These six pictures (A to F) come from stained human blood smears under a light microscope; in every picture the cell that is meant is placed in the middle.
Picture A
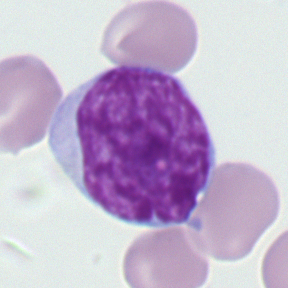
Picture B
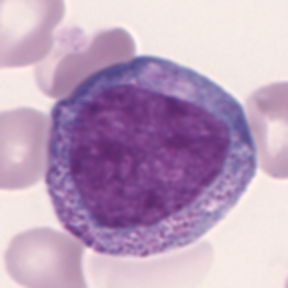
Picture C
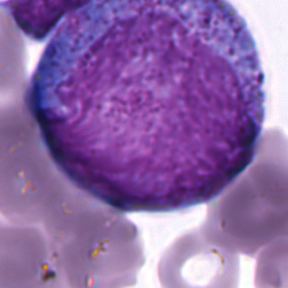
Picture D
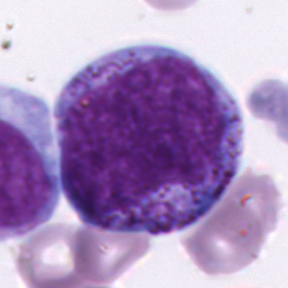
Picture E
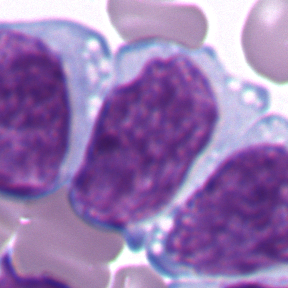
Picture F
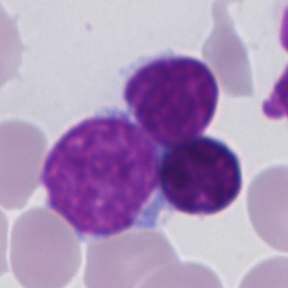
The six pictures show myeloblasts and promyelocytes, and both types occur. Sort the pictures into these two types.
A: myeloblast
B: promyelocyte
C: promyelocyte
D: promyelocyte
E: myeloblast
F: myeloblast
